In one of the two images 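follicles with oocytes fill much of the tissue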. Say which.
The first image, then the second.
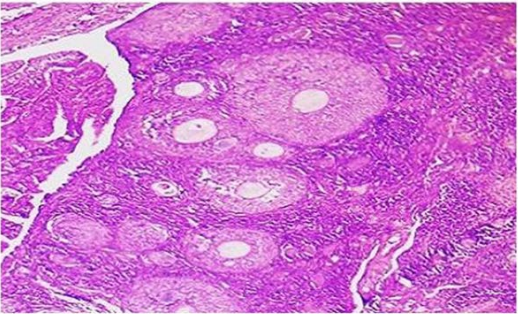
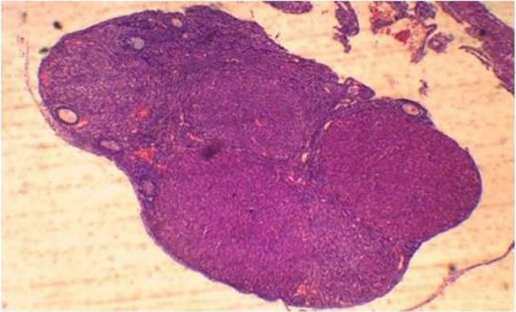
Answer: the first image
